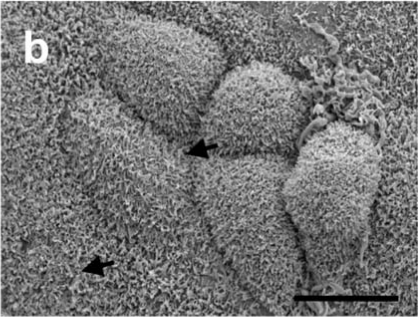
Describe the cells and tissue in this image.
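Several rounded to elongated cell bodies bulge from the surface, pressed against one another with narrow clefts between them. Every exposed cell surface, on both the bulging cells and the flatter cells around them, is densely carpeted with short, slender finger-like projections, microvilli, giving a fuzzy, bristly texture. At the upper right, a cell edge shows looser, ruffled membrane folds. No smooth bare membrane is apparent between the projections.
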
